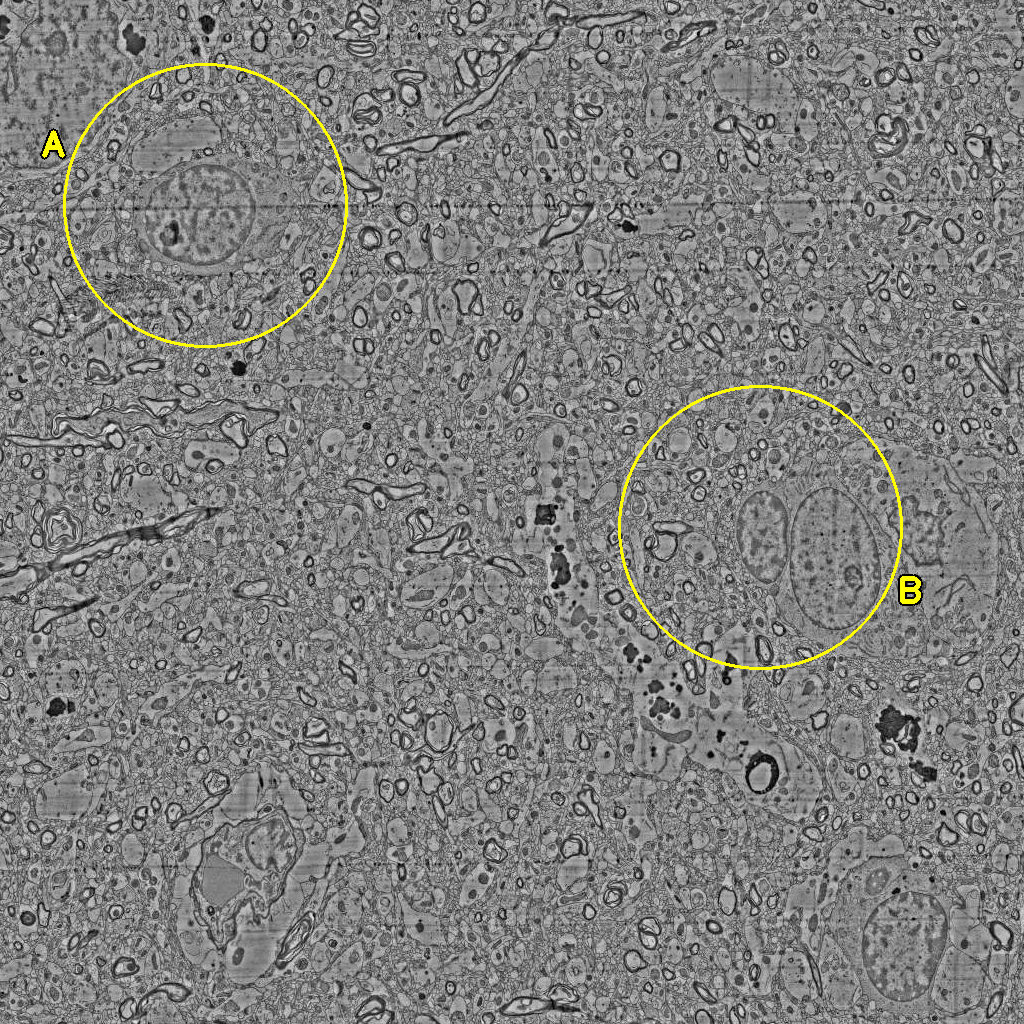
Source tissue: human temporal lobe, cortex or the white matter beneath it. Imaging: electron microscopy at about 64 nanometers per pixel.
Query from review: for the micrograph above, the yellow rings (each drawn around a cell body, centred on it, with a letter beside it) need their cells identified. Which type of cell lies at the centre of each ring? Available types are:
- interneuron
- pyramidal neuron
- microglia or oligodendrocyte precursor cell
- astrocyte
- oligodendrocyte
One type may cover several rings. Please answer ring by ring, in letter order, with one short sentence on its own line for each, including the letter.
Ring A is drawn around an oligodendrocyte.
Ring B is drawn around an oligodendrocyte.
